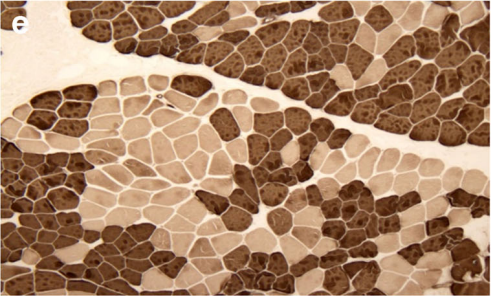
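This cross-section of skeletal muscle shows polygonal myofibers of two kinds, stained either dark brown or pale tan. Fibers of the same shade lie together in large groups instead of being intermingled in a checkerboard pattern. The dark fibers have a speckled internal texture, while the pale fibers are more evenly light. The fibers are packed into fascicles separated by thin pale bands of connective tissue.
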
